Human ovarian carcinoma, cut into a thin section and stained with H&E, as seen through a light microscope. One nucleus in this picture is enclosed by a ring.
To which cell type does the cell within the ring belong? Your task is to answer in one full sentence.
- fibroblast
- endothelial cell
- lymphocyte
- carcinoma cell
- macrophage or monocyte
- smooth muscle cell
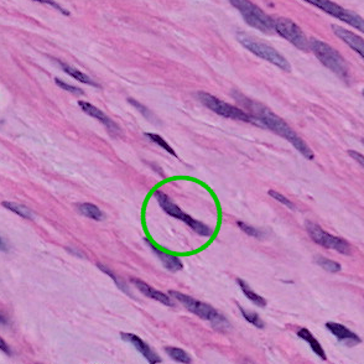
What the cell within the ring represents is a smooth muscle cell.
